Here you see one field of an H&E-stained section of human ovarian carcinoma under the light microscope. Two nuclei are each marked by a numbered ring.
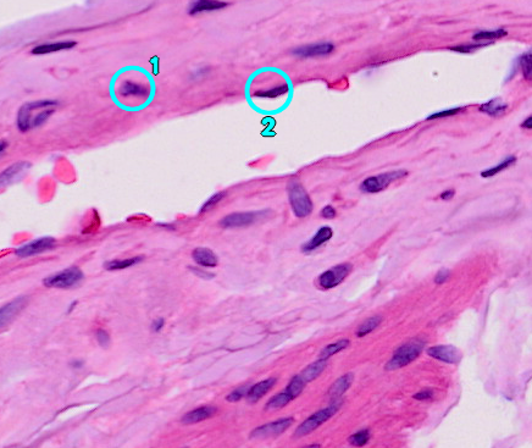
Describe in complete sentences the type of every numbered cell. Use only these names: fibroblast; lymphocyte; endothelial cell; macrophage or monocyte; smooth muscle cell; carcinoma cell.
Cell 1 is a smooth muscle cell. Cell 2 is an endothelial cell.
